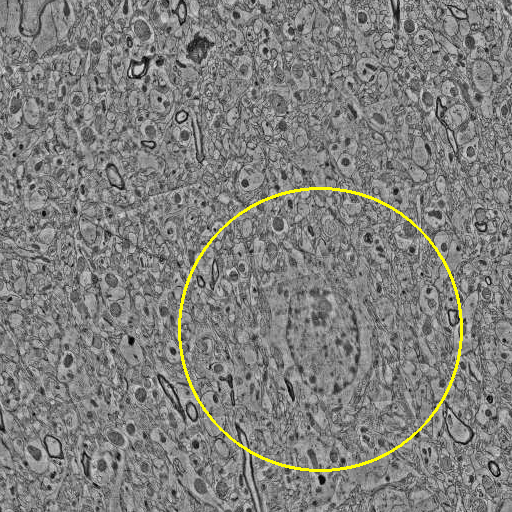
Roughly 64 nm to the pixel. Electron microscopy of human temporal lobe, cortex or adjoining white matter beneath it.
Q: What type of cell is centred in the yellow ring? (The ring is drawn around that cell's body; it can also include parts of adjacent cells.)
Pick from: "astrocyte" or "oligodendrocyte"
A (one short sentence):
The yellow ring is centred on an astrocyte.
